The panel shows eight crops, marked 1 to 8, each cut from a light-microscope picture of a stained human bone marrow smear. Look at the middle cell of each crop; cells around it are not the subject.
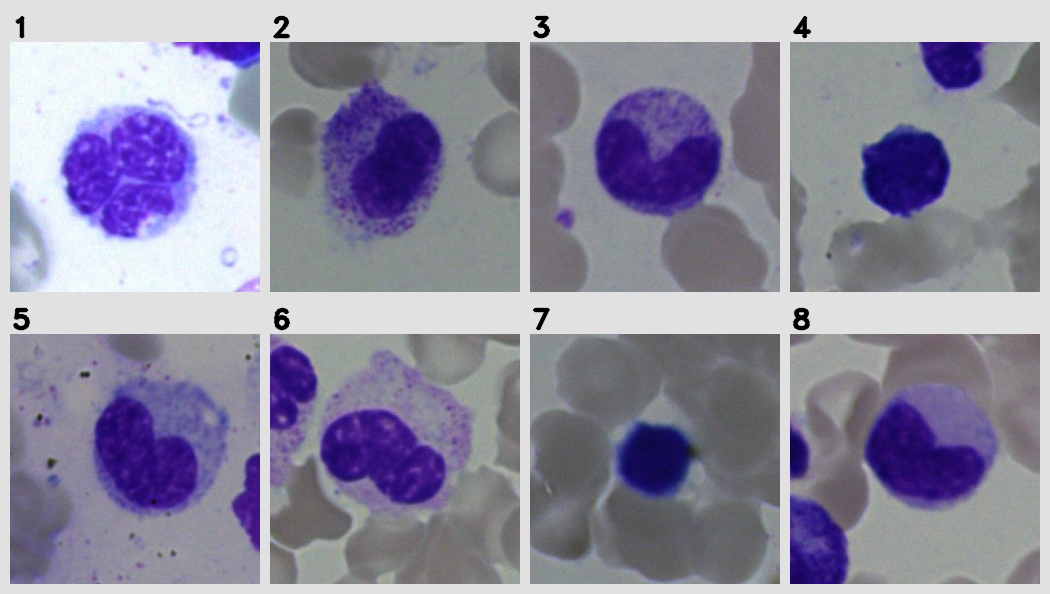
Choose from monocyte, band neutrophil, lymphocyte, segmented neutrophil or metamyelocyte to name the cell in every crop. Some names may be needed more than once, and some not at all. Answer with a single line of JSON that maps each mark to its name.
{"1": "monocyte", "2": "metamyelocyte", "3": "band neutrophil", "4": "lymphocyte", "5": "metamyelocyte", "6": "band neutrophil", "7": "lymphocyte", "8": "band neutrophil"}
